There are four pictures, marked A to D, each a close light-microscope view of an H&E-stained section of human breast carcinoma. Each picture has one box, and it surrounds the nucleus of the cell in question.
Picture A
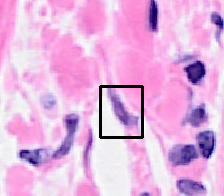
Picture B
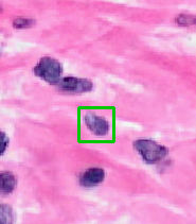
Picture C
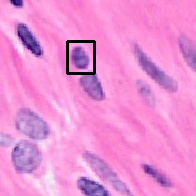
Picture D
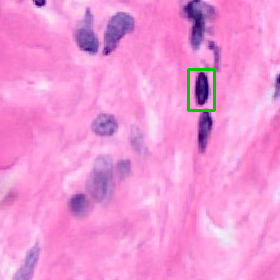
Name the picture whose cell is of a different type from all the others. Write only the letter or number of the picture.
A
